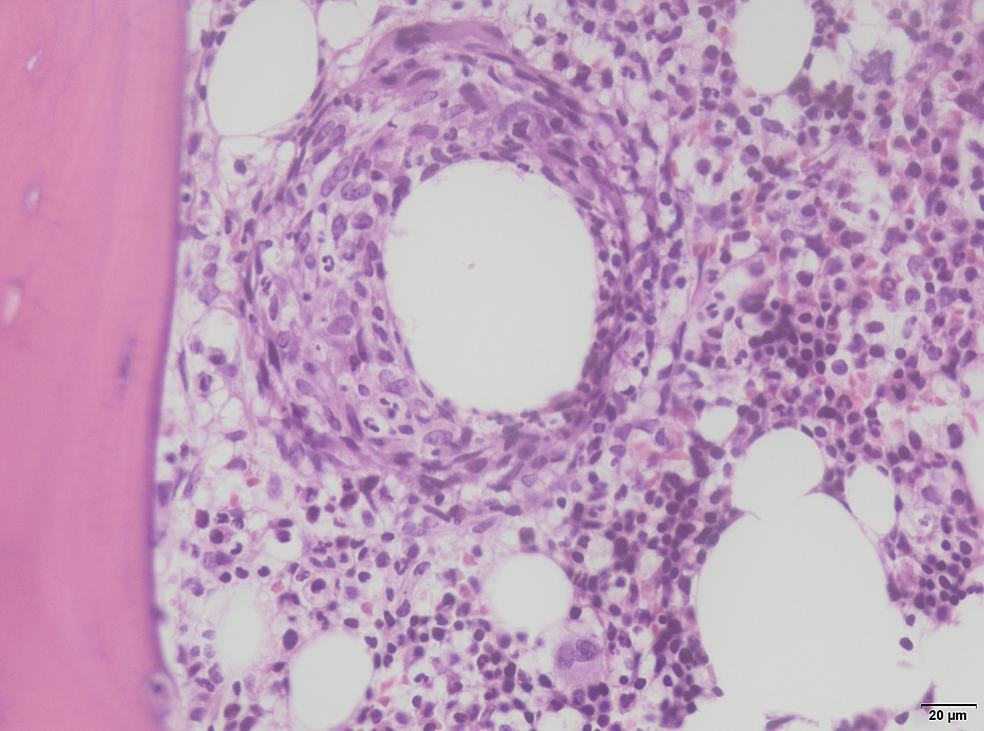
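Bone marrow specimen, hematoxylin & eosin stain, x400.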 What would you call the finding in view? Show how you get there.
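A round, well-circumscribed cluster of cells sits in the center of the marrow. The cluster is made of concentric layers of elongated and plump cells with pale pink cytoplasm. There is no pink, amorphous debris or structureless area within the cluster.
Non-necrotizing granuloma.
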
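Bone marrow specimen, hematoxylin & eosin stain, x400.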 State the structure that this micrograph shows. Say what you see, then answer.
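A large, round, empty clear space lies at the center of the cell cluster. The clear space has a smooth rim and resembles the fat spaces elsewhere in the marrow.
Central fatty vacuole.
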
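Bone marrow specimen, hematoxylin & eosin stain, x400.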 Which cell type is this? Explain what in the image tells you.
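Macrophages. Cells with oval to bean-shaped pale nuclei and abundant pink cytoplasm surround the central clear space. These cells are arranged in concentric rings around the space.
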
